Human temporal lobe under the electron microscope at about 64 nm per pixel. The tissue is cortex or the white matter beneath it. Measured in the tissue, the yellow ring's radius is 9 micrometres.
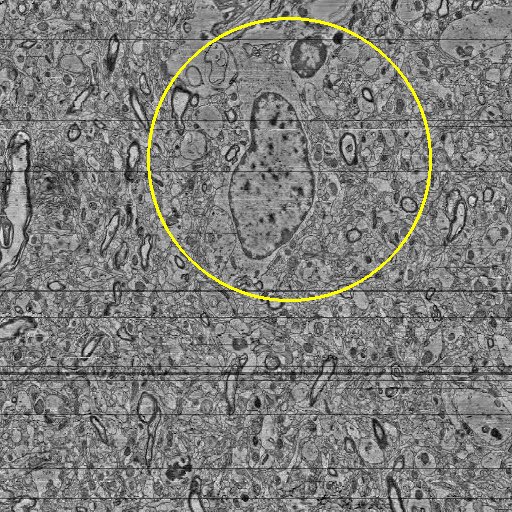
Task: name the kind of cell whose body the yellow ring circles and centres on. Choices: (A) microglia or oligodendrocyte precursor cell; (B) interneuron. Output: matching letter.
A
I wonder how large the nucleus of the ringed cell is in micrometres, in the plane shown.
The nucleus works out at approximately 11 by 5 micrometres in this plane.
